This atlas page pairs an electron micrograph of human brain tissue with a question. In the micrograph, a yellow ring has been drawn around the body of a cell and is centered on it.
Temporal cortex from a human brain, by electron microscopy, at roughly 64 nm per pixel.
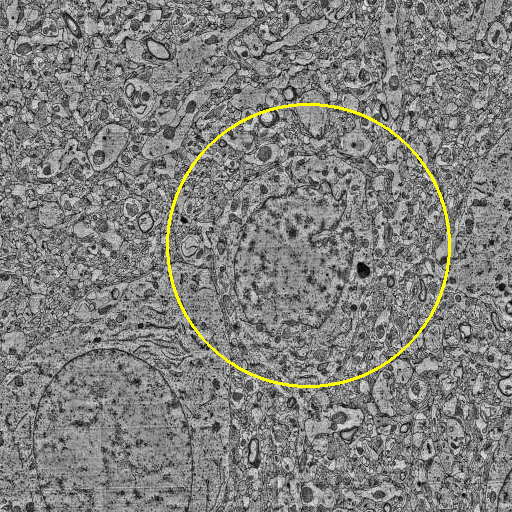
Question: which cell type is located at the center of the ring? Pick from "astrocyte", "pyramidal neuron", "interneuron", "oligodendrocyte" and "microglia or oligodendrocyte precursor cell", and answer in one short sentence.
Located at the center of the ring is an interneuron.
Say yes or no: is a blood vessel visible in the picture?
No, the picture includes no blood vessel.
